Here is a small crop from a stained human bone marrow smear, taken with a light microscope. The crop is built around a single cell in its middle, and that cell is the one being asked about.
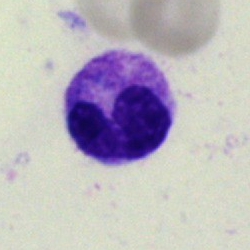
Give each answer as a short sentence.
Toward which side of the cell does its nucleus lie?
The nucleus lies toward the bottom of the cell.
